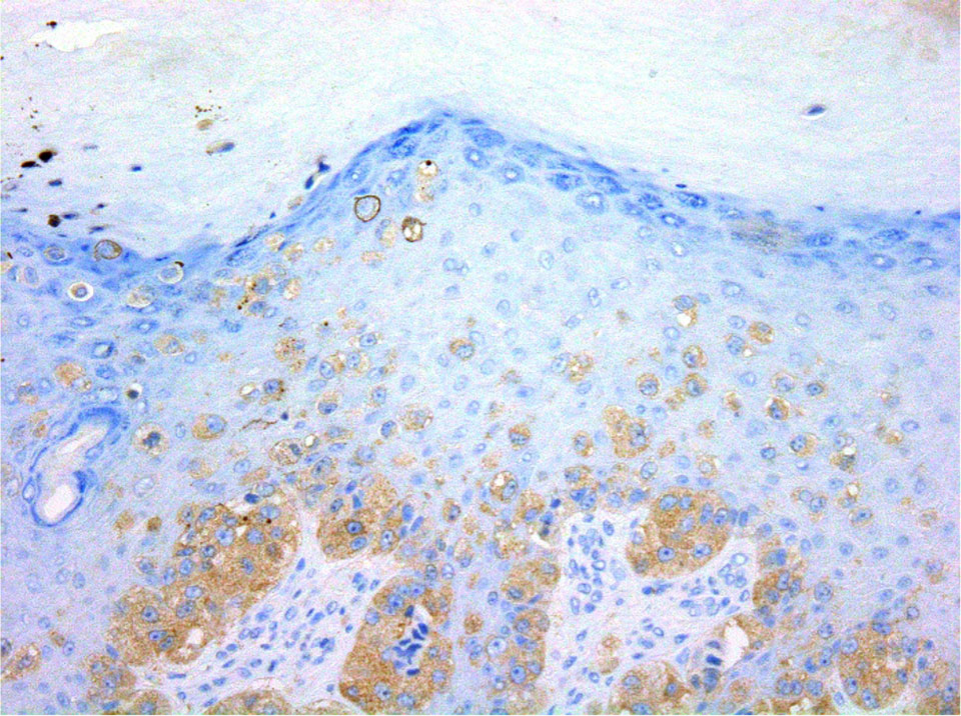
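This is skin with a very thick, compact cornified layer at the top, and within the epidermis there are many large, abnormal melanocytic cells with brown-stained granular cytoplasm. At the base of the epidermis they gather in large rounded nests, separated by pale dermal stroma with small blue nuclei. From these nests, single cells are scattered upward through all levels of the epidermis, between the unstained blue keratinocytes, and some reach just beneath the cornified layer.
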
